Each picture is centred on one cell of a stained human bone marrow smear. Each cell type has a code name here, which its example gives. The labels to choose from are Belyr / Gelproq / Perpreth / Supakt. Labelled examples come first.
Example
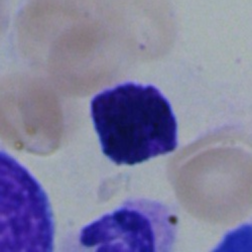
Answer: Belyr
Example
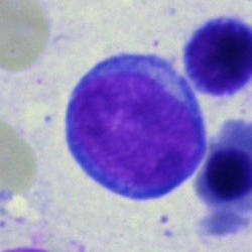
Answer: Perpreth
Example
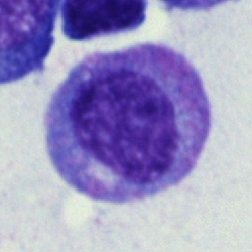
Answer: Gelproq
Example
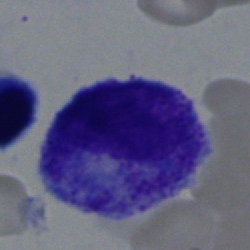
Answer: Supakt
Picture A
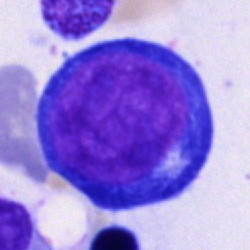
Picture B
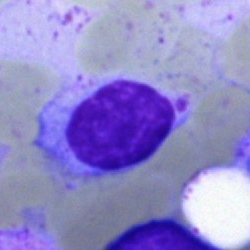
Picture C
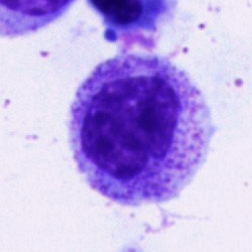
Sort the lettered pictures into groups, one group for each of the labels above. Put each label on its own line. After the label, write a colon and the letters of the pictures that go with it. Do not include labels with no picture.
Belyr: B
Perpreth: A
Supakt: C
